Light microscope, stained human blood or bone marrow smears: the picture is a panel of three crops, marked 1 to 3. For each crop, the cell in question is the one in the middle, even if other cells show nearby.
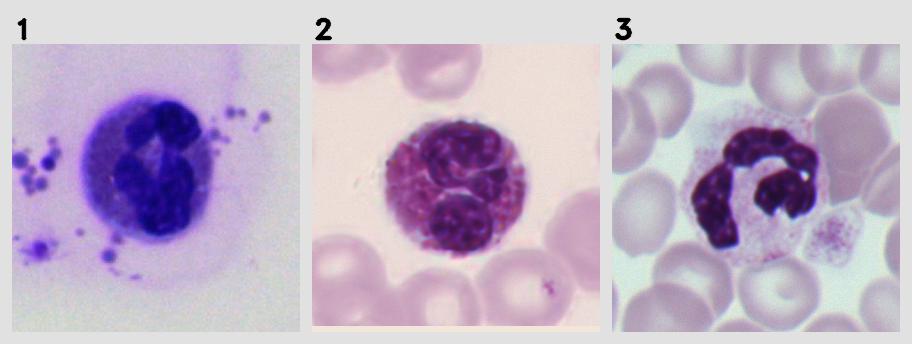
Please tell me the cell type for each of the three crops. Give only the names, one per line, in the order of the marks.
eosinophil
eosinophil
segmented neutrophil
